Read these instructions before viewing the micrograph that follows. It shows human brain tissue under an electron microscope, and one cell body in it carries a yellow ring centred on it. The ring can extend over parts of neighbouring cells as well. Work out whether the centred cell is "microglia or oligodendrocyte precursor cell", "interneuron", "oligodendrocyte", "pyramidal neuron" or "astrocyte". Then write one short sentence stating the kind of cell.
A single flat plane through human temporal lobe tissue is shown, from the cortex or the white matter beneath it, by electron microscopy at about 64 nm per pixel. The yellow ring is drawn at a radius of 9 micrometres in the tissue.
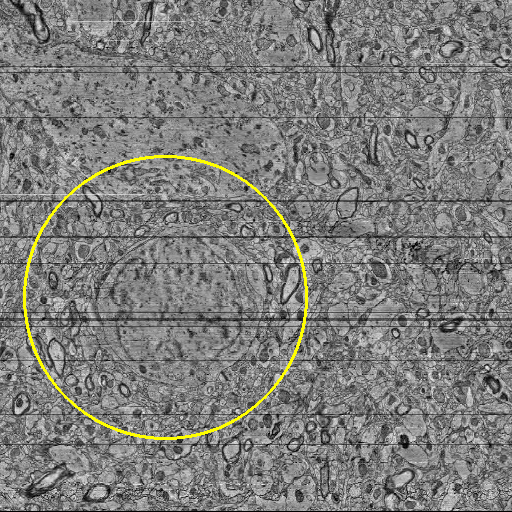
The ringed cell is an interneuron.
